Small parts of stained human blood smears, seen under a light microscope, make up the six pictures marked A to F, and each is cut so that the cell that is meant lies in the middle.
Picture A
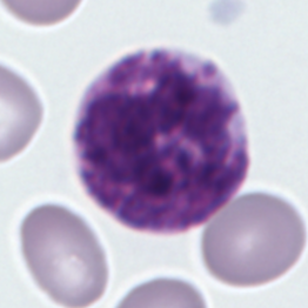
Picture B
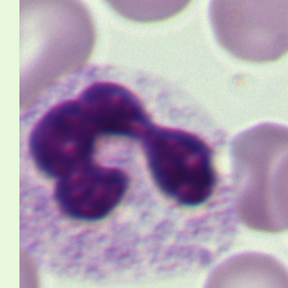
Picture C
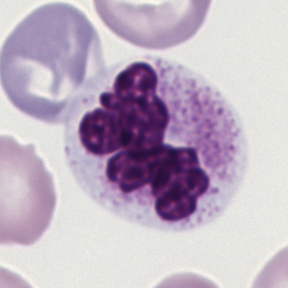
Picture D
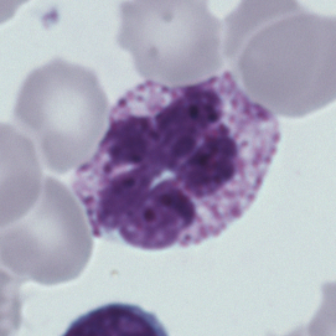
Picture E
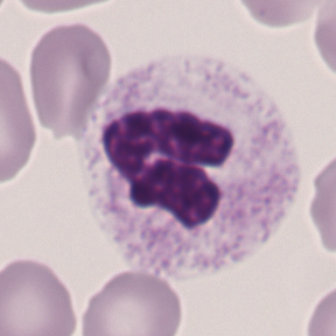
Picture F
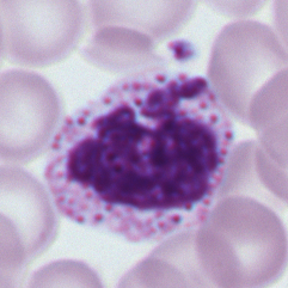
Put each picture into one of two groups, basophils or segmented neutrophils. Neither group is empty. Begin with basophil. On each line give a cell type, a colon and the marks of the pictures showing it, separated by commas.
basophil: A, D, F
segmented neutrophil: B, C, E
